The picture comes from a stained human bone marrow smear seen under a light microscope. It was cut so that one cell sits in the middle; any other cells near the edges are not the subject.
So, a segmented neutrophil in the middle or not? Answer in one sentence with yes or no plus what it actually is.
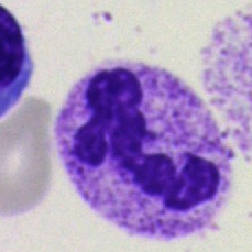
Yes, the cell centred in the field of view is a segmented neutrophil.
